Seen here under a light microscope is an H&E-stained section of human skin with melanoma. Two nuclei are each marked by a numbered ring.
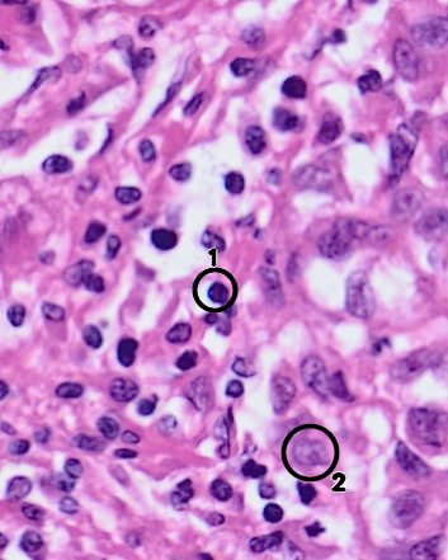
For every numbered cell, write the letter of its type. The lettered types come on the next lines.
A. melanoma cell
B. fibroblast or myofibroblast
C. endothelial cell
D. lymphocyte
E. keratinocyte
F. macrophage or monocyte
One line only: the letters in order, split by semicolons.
D; A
